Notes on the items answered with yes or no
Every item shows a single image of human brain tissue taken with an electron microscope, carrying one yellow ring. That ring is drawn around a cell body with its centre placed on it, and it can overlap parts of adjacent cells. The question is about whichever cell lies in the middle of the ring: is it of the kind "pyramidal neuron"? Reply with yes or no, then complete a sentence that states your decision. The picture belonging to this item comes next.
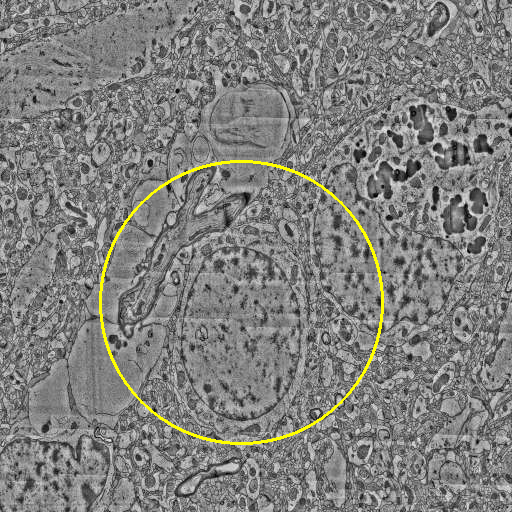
Yes, this micrograph shows a cell of that kind in the middle of the ring.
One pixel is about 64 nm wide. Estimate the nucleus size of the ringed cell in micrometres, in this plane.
In this plane, the nucleus of the cell at the centre of the ring measures about 11 by 8 micrometres.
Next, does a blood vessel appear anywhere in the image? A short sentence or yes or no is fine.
Yes, a blood vessel can be seen.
